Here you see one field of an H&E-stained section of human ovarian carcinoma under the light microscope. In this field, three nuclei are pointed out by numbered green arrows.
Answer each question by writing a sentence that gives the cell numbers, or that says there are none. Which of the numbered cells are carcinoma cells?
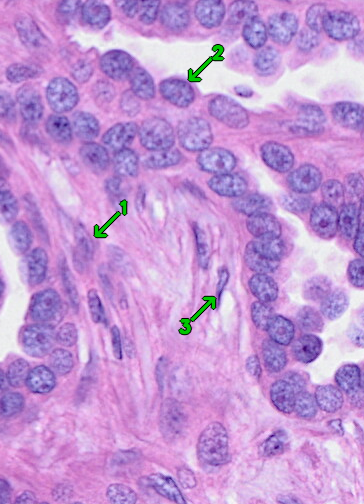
Cell 2 is a carcinoma cell, while all remaining marked cells are of other types.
